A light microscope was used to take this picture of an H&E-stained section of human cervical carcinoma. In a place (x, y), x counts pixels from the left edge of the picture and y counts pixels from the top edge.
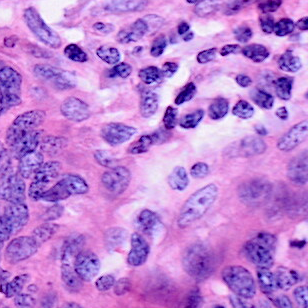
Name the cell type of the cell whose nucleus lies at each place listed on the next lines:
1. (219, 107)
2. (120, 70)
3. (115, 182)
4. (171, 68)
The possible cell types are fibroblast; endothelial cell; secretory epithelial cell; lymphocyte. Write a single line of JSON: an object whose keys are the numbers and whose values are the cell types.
{"1": "lymphocyte", "2": "lymphocyte", "3": "endothelial cell", "4": "lymphocyte"}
